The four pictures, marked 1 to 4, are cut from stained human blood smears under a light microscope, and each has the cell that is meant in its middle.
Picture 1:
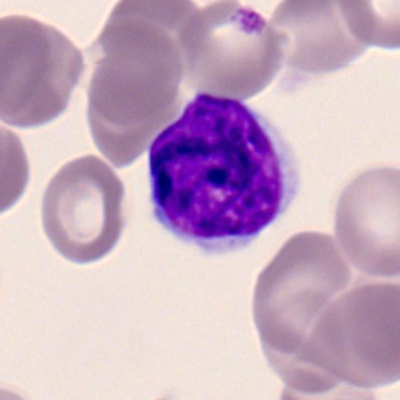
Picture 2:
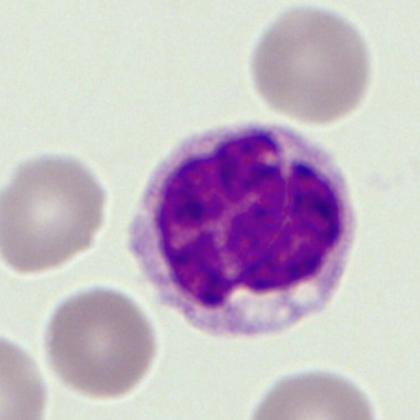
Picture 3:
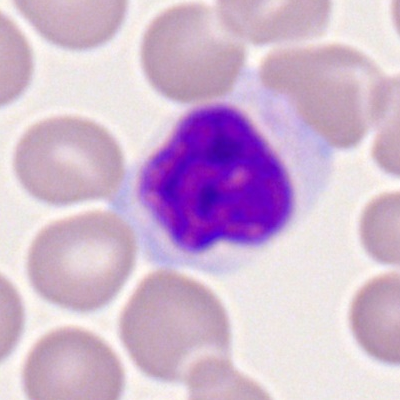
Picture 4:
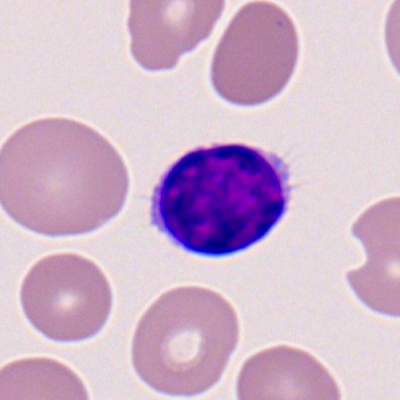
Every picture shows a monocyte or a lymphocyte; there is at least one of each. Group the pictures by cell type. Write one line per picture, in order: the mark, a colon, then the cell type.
1: lymphocyte
2: monocyte
3: lymphocyte
4: lymphocyte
